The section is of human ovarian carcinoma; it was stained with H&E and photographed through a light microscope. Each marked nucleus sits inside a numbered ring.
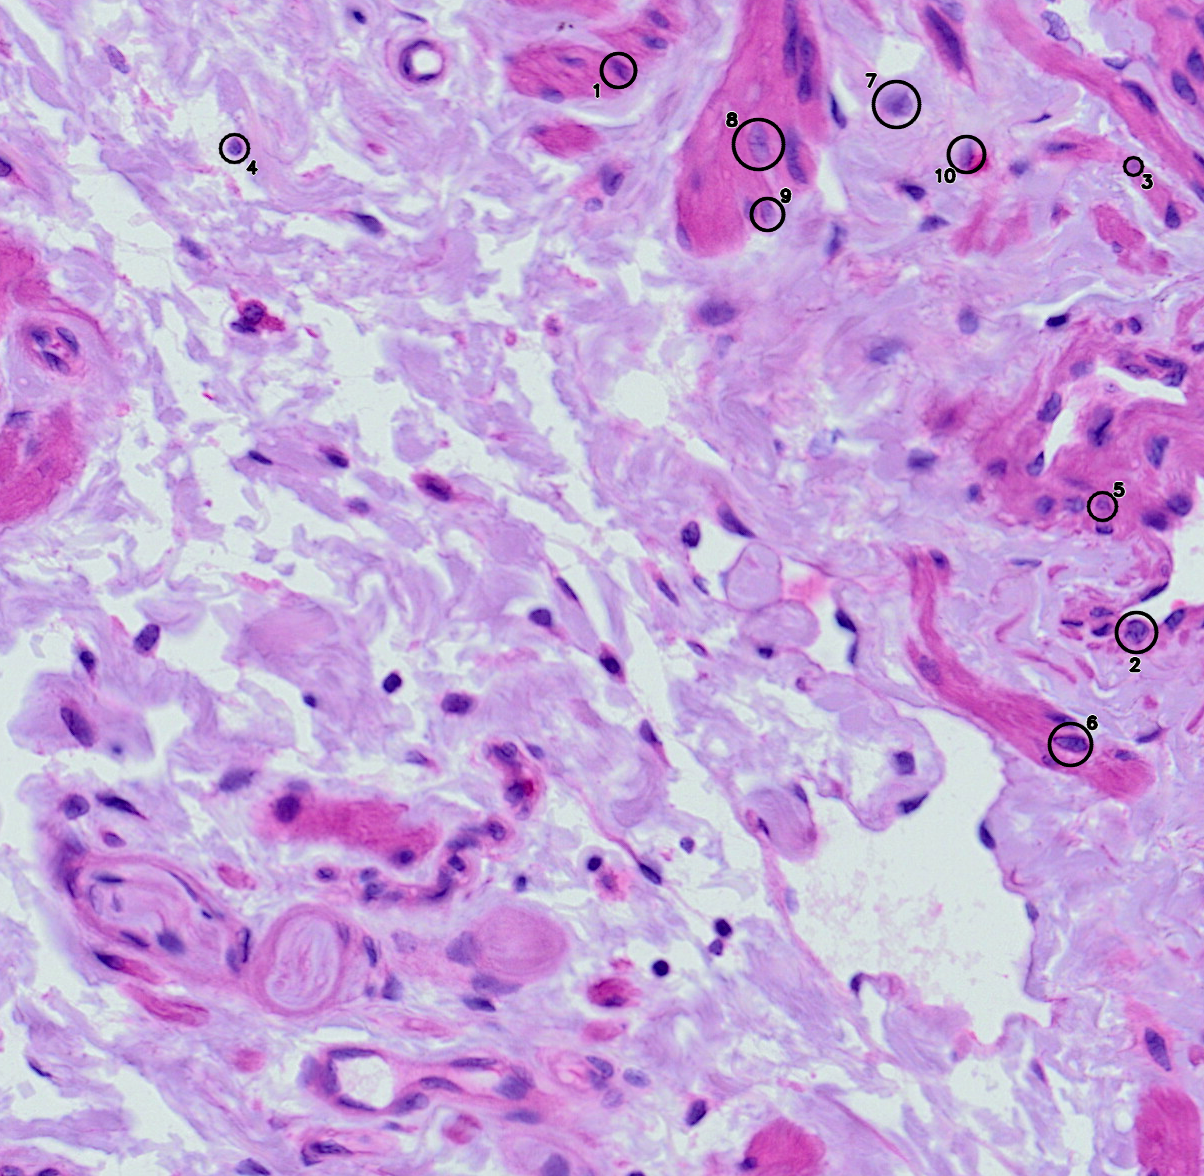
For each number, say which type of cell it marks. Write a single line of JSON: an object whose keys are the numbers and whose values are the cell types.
{"1": "smooth muscle cell", "2": "endothelial cell", "3": "smooth muscle cell", "4": "lymphocyte", "5": "smooth muscle cell", "6": "smooth muscle cell", "7": "fibroblast", "8": "smooth muscle cell", "9": "smooth muscle cell", "10": "endothelial cell"}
